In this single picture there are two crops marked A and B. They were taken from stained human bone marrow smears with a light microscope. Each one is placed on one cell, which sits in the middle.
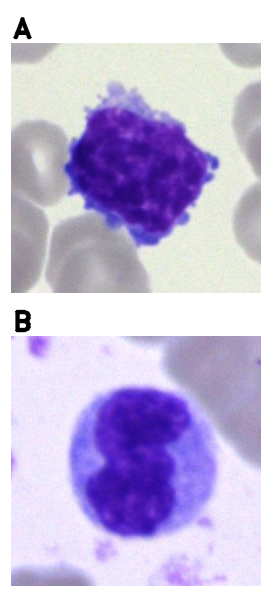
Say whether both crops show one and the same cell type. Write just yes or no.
no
